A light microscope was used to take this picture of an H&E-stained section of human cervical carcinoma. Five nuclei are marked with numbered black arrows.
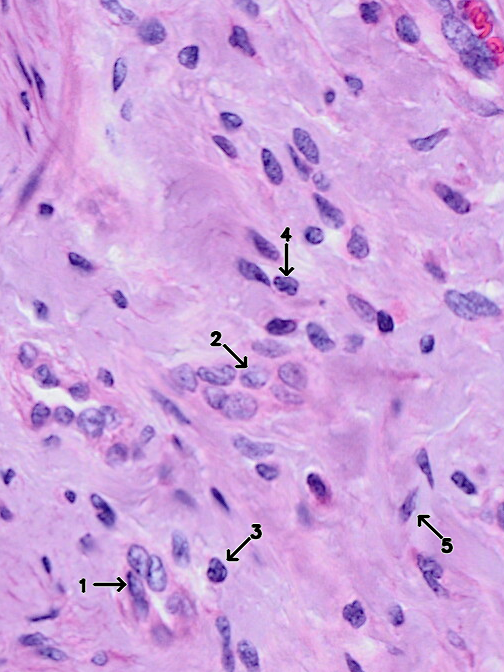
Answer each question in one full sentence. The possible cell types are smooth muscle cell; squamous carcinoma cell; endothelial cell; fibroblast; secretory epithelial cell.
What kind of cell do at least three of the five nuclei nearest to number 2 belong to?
Endothelial cells account for more than half of the five nuclei nearest to number 2.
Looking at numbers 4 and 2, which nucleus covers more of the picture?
Nucleus 2 is the larger one, covering about 1.5 times the area of nucleus 4.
